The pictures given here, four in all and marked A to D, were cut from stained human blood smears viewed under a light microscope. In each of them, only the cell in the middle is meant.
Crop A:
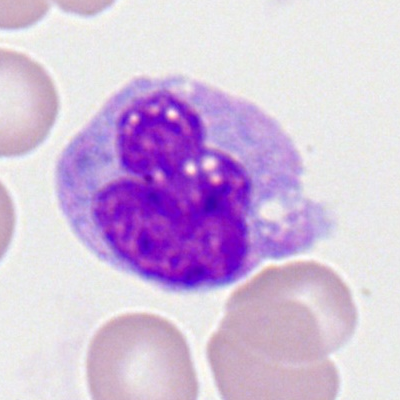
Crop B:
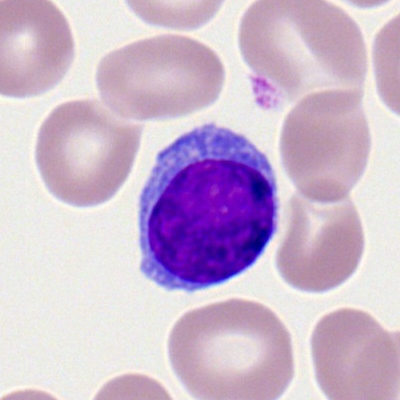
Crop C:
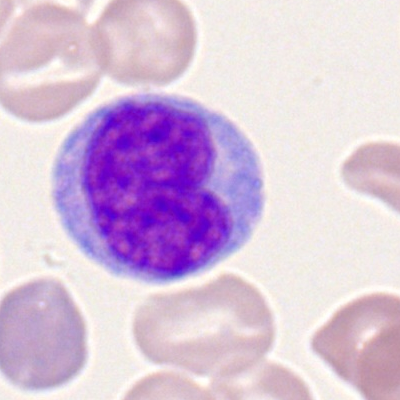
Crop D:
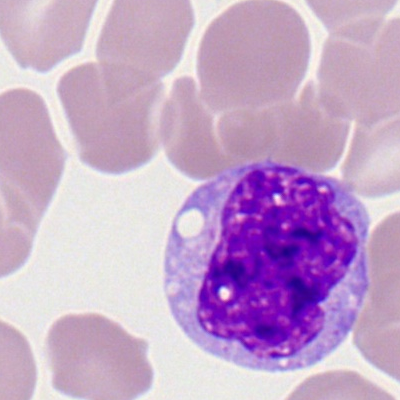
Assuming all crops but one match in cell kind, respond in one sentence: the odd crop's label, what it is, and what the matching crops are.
A different cell type, a lymphocyte, occupies crop B; the other crops show monocytes.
